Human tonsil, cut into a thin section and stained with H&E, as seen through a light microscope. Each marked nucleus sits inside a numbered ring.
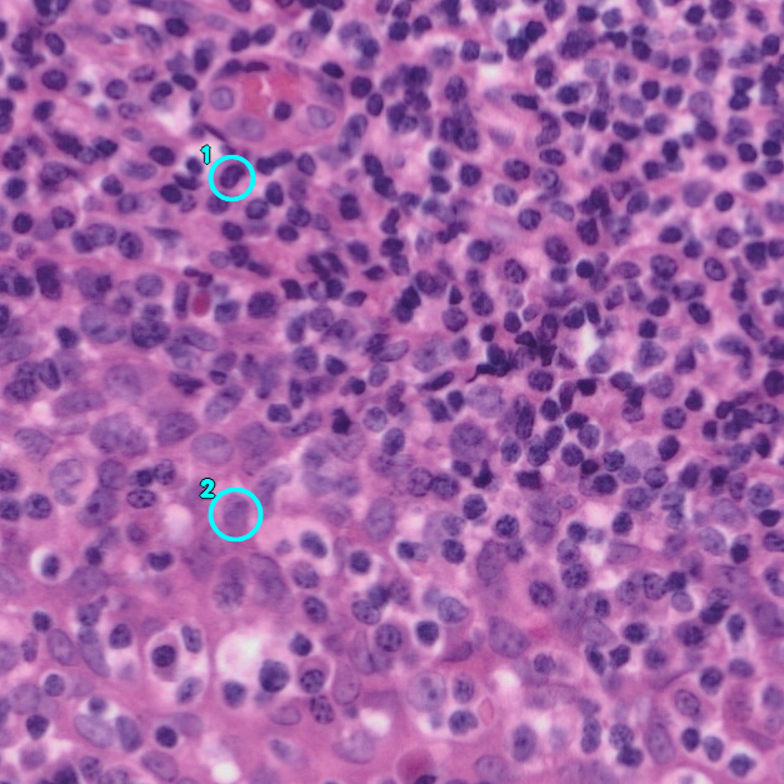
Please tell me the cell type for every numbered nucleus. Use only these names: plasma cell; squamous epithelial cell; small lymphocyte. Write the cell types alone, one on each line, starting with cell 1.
plasma cell
squamous epithelial cell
